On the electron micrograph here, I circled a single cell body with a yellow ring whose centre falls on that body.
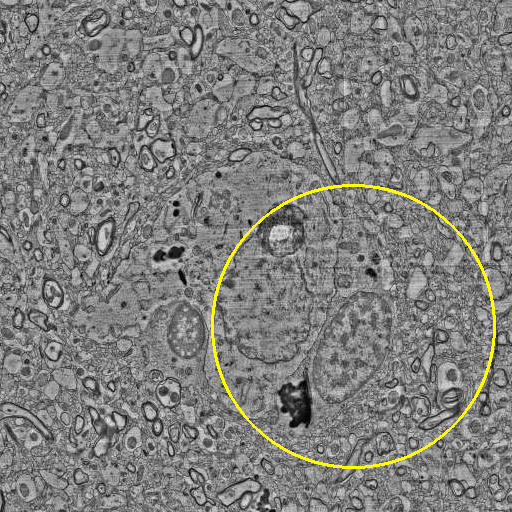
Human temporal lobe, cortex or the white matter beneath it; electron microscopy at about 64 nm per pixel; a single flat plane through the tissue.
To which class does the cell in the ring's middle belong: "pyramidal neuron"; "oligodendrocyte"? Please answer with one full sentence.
In this picture, the cell body circled at the ring's centre belongs to an oligodendrocyte.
